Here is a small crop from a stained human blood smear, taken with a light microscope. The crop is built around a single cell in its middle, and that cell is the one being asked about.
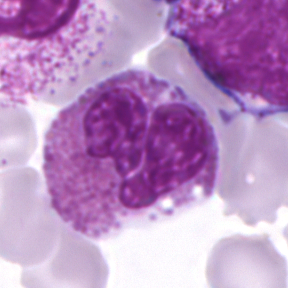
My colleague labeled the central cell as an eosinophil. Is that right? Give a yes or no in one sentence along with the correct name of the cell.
Yes, the cell in the middle of the view is an eosinophil.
